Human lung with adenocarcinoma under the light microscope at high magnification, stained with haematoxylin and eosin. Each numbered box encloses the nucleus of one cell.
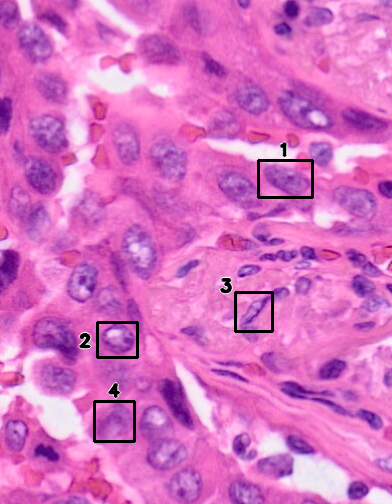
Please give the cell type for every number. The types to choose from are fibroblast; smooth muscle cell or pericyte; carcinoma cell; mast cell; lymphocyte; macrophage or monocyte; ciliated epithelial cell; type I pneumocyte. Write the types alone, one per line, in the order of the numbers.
carcinoma cell
carcinoma cell
fibroblast
carcinoma cell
